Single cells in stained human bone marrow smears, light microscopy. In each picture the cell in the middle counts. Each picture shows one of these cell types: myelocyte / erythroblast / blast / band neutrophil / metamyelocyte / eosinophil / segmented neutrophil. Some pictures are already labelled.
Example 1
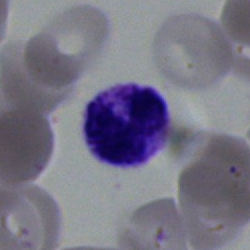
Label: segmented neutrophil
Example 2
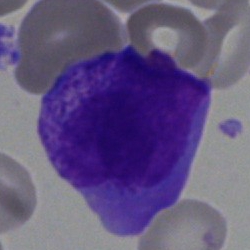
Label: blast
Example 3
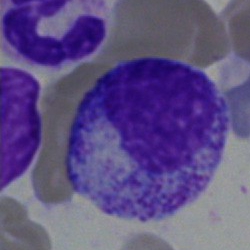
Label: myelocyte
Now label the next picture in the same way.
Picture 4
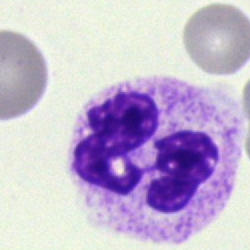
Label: segmented neutrophil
